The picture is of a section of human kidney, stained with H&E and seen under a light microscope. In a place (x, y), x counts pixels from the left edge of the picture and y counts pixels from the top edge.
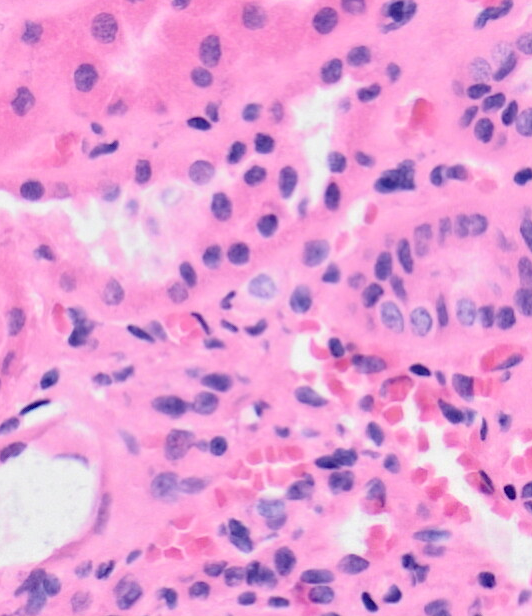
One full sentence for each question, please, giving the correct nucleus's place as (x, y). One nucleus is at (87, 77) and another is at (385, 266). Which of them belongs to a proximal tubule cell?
Which one belongs to a proximal tubule cell? The nucleus at (87, 77) does.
